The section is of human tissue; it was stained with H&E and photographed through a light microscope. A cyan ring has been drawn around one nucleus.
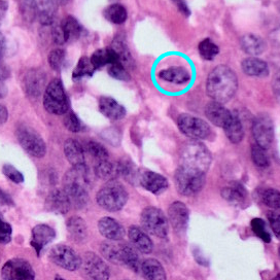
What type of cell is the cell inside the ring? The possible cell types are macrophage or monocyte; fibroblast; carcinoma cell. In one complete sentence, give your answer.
In this section of tissue, the cell inside the ring is a macrophage or monocyte.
